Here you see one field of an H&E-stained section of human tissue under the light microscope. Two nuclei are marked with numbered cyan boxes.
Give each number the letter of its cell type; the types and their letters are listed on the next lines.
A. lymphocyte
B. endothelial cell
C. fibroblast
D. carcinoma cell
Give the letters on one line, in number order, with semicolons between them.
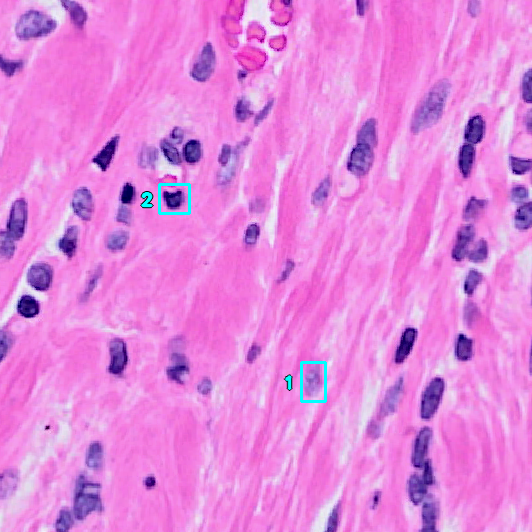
C; B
